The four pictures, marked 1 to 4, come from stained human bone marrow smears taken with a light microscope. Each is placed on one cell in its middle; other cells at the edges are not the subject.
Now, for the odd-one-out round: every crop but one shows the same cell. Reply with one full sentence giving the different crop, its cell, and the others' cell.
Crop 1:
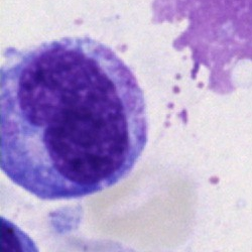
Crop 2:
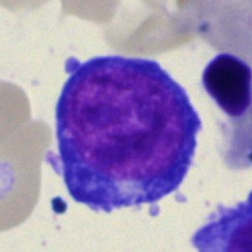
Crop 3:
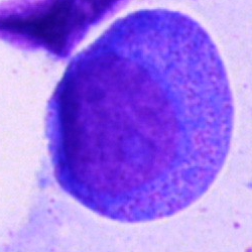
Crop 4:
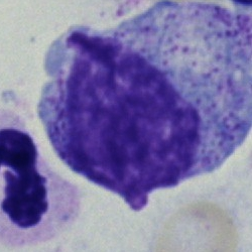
The single exception among the crops is crop 2, which is a proerythroblast; the rest show promyelocytes.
